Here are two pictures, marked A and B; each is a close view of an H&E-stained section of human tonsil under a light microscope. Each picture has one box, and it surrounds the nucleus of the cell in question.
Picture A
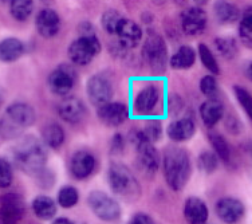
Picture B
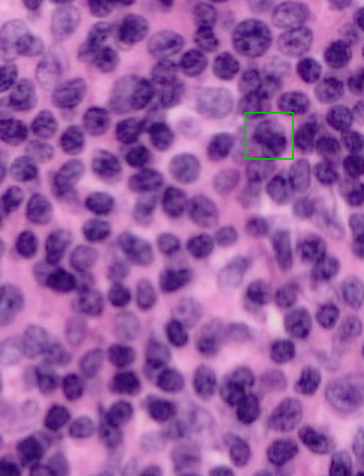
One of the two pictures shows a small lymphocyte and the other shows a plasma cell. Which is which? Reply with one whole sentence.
It is picture A that shows a plasma cell, and picture B that shows a small lymphocyte.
